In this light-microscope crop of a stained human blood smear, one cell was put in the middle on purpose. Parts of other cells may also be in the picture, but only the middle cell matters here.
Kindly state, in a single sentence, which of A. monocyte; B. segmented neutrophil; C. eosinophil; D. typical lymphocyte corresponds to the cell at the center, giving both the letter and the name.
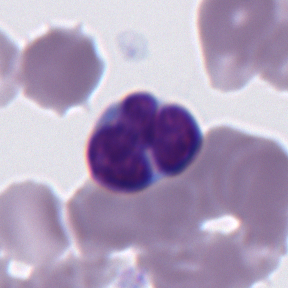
The cell in the middle is correctly identified as a typical lymphocyte in option D.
